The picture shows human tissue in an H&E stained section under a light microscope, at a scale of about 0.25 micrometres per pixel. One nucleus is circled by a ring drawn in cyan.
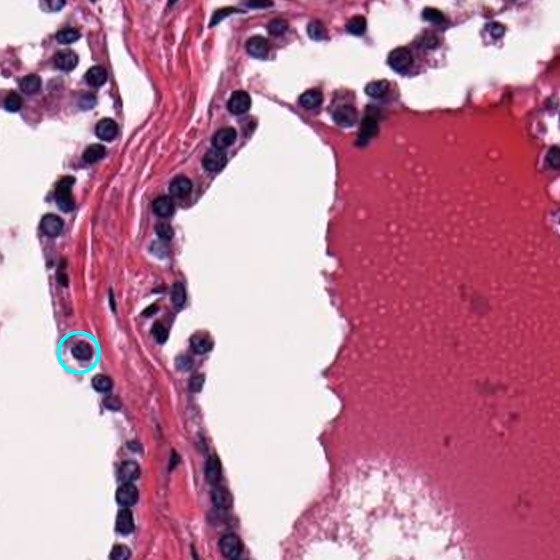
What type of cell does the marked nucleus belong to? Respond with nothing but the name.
thyroid follicular cell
